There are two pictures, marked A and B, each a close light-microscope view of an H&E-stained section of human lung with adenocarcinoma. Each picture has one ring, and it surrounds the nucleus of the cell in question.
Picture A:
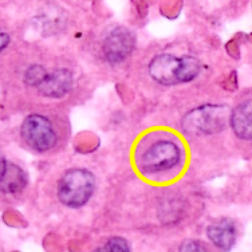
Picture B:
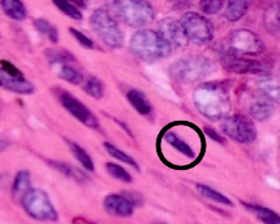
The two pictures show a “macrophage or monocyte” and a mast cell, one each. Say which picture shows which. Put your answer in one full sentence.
Picture A is of a “macrophage or monocyte”, and picture B is of a mast cell.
